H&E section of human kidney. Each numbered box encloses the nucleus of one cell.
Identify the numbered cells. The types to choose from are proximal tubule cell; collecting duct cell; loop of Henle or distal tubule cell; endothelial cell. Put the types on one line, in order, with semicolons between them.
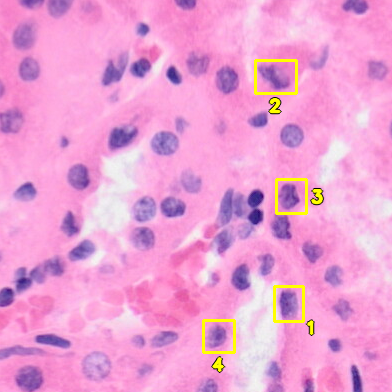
loop of Henle or distal tubule cell; proximal tubule cell; proximal tubule cell; loop of Henle or distal tubule cell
